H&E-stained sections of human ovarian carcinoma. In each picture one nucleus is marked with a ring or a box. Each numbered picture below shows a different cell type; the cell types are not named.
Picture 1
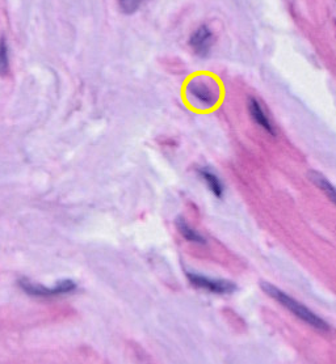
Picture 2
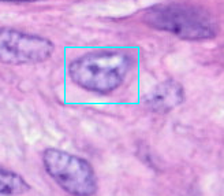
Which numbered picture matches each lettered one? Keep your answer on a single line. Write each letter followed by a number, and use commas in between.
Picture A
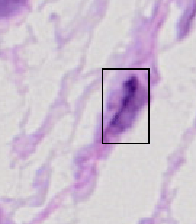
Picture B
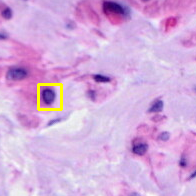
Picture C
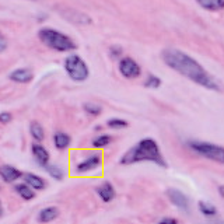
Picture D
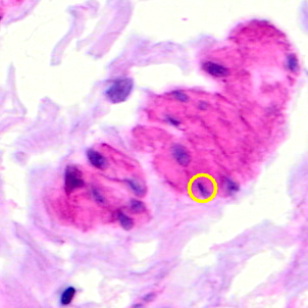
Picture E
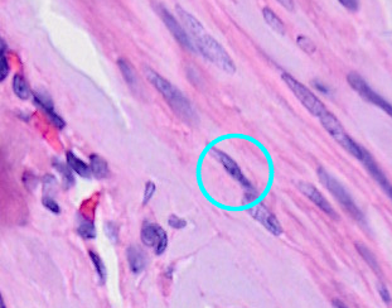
A 2, B 1, C 1, D 1, E 1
